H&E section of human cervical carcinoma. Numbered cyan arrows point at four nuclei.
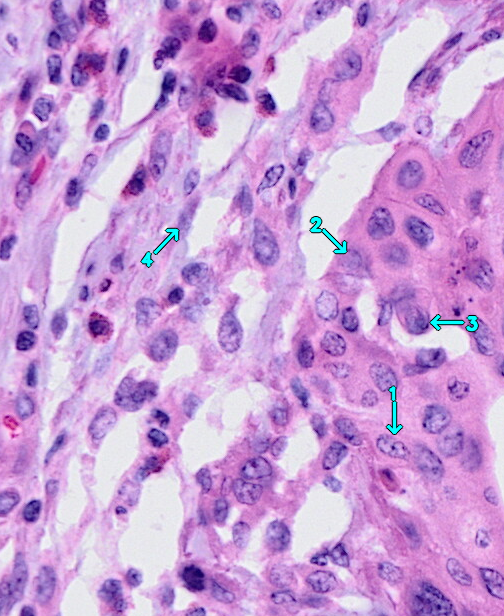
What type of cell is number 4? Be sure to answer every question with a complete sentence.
The numbered cell 4 in this field is a fibroblast.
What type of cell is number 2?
The cell pointed out by number 2 is a squamous carcinoma cell.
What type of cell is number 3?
The cell indicated by marker 3 is a squamous carcinoma cell in this section.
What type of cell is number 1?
It is as a squamous carcinoma cell that the cell numbered 1 is identified.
